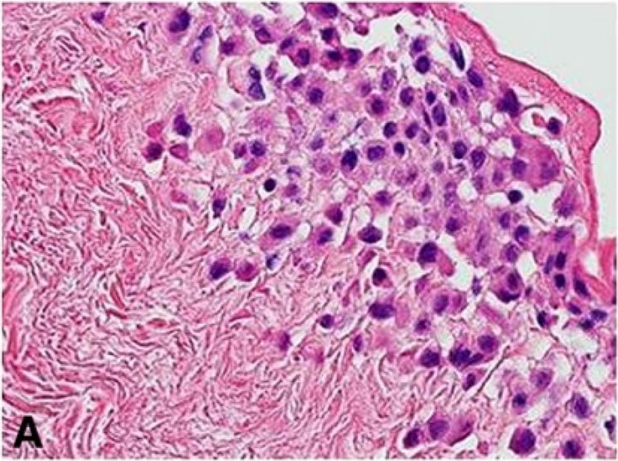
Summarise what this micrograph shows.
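Pink fibrous collagen material is heavily infiltrated by lymphocytes and plasma cells. The cells lie closely packed in the upper right part, many with round, dark purple nuclei placed to one side of a moderate amount of pink cytoplasm, others small with scant cytoplasm. Toward the lower left the infiltrate thins out into finely fibrillar pink material, and a thin smooth pink band runs along the upper right edge.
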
